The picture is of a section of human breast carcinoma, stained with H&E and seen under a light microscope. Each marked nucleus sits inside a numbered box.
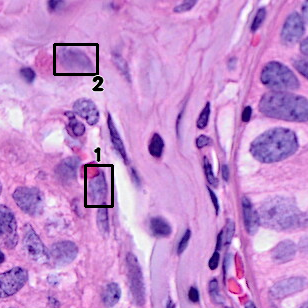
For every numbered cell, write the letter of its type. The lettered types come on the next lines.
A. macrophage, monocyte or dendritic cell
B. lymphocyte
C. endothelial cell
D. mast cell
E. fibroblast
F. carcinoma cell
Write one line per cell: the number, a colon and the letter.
1: C
2: E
